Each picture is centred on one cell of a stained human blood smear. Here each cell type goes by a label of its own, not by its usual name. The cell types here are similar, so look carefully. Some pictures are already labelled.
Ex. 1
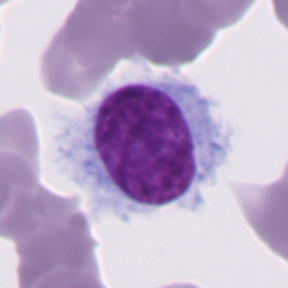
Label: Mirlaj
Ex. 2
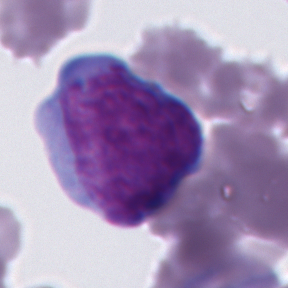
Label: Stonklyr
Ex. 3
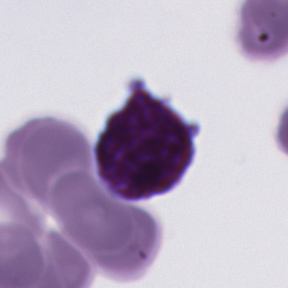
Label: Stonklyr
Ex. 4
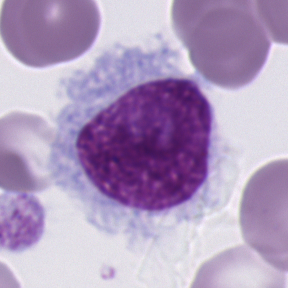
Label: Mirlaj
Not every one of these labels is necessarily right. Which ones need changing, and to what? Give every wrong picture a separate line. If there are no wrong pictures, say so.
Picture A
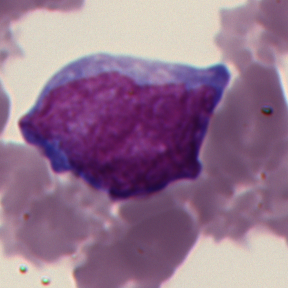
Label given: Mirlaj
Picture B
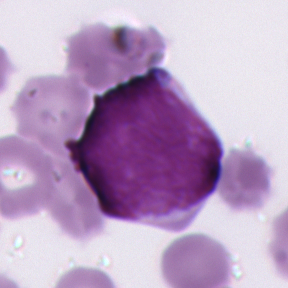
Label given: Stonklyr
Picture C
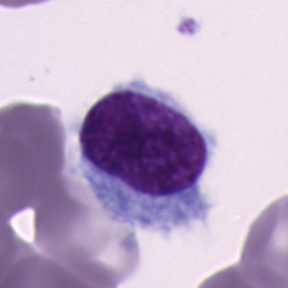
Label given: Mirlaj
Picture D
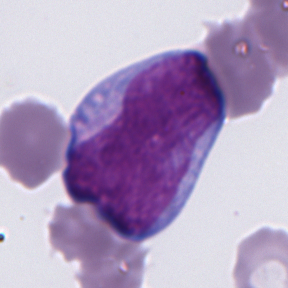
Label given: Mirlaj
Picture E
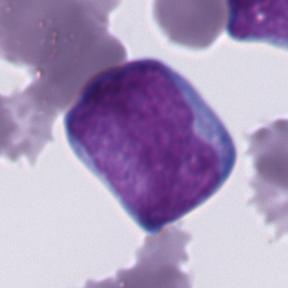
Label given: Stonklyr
A: not Mirlaj but Stonklyr
D: not Mirlaj but Stonklyr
